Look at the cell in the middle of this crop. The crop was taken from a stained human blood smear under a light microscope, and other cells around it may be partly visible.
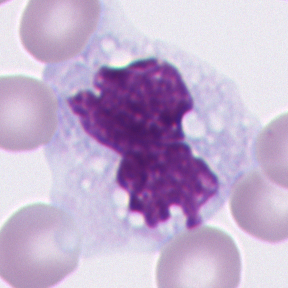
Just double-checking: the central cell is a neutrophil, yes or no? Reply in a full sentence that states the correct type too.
No, the central cell is counted as a monocyte instead of a neutrophil.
